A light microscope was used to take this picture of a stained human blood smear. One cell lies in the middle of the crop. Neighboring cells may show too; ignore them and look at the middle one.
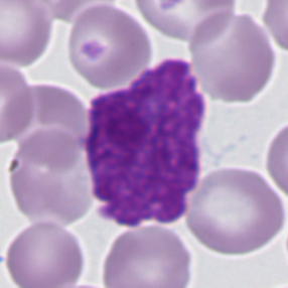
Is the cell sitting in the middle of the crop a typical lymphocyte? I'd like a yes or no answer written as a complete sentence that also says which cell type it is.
No, the cell at the center of this crop is a smudge cell instead of a typical lymphocyte.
